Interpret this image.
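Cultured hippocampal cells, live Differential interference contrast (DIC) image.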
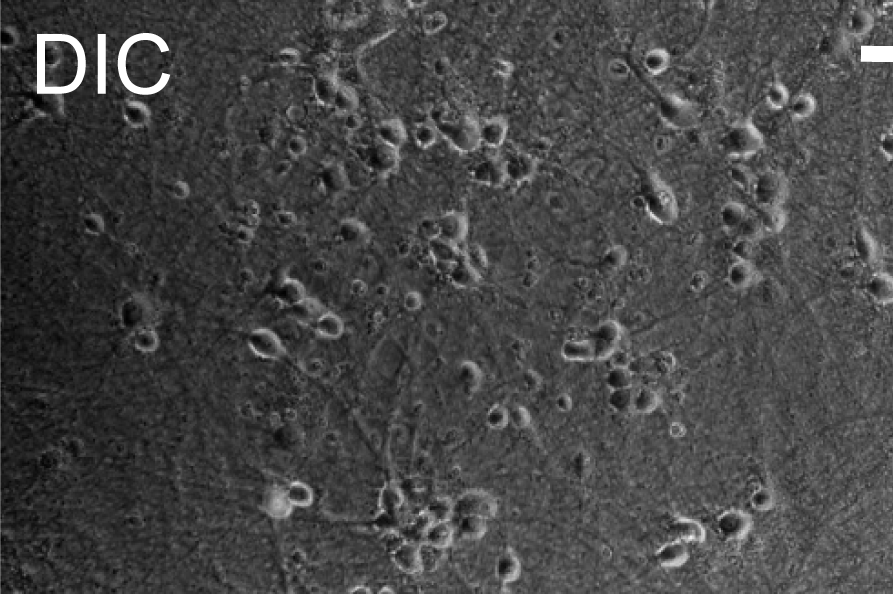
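Numerous small, rounded cell bodies with bright, relief-like rims lie scattered singly and in small clusters on a grainy background. Faint thin processes run from some of the bodies across the dish.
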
